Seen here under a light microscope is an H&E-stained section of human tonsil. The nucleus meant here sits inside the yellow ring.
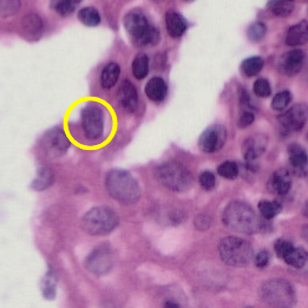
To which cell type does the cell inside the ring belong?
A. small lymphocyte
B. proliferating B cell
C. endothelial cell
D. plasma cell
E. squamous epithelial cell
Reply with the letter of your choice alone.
E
